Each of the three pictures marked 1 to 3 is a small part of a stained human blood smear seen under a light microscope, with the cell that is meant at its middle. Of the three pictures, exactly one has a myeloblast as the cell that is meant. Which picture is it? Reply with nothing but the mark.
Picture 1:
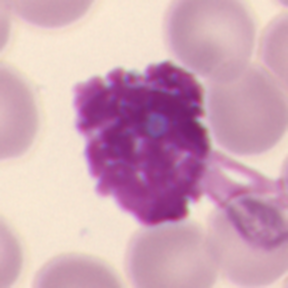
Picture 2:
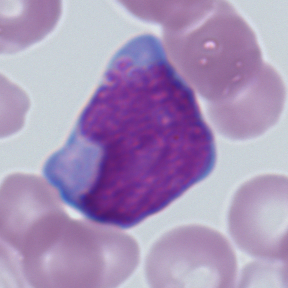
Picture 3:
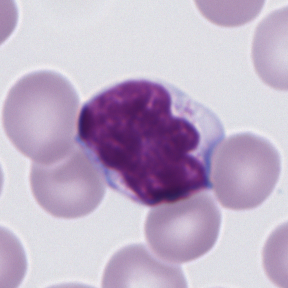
2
